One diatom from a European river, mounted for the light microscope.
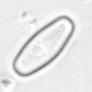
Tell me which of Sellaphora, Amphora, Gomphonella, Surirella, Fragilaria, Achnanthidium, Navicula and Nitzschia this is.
The picture shows Achnanthidium.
